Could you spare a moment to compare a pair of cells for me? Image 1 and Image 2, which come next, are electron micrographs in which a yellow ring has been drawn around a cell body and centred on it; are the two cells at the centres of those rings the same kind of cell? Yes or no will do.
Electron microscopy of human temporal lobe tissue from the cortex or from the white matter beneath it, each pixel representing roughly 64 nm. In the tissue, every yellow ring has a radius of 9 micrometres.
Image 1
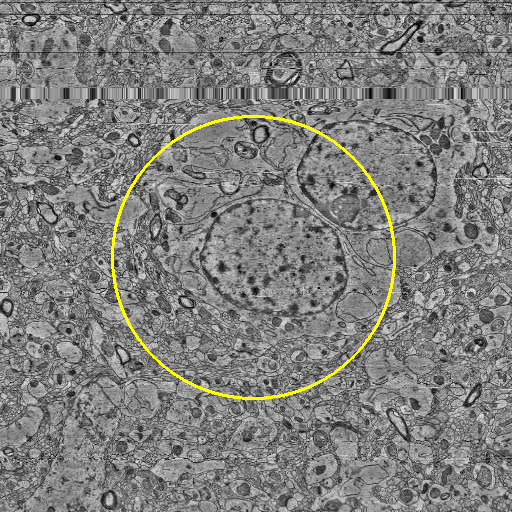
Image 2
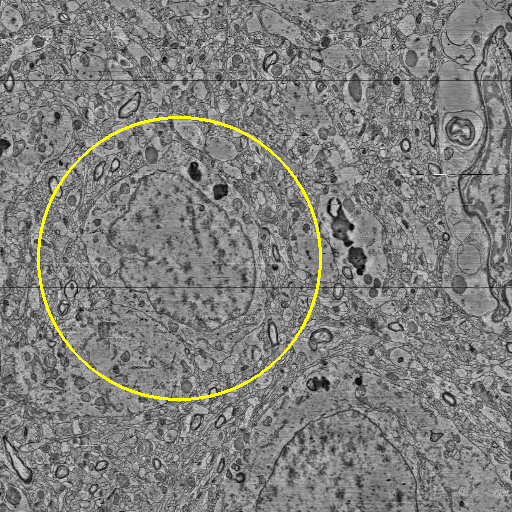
no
